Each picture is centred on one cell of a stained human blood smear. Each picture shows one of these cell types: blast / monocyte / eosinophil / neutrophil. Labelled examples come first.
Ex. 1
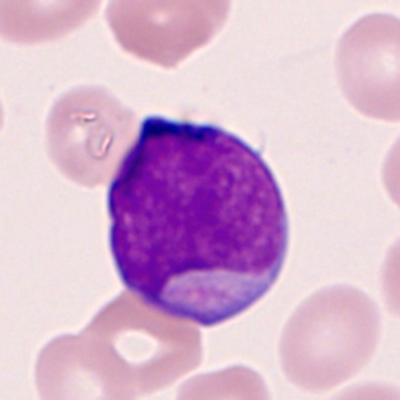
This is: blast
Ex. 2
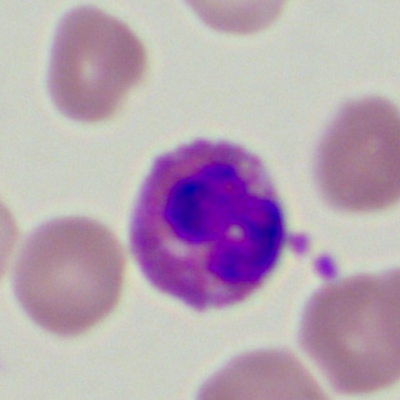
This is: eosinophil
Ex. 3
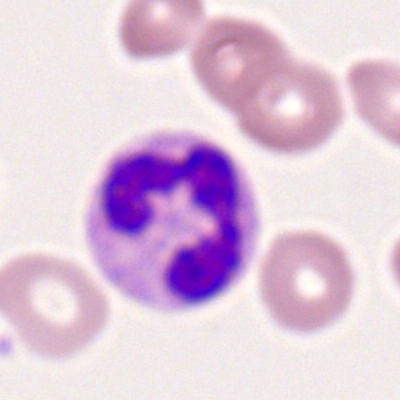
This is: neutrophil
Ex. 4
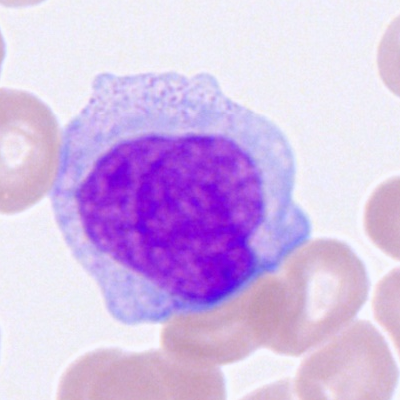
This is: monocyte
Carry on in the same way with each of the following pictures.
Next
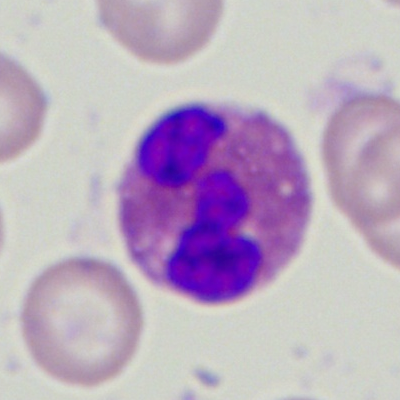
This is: eosinophil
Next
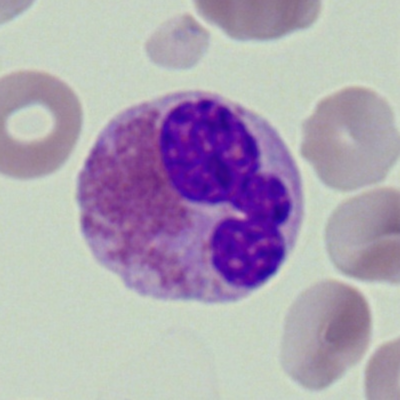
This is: eosinophil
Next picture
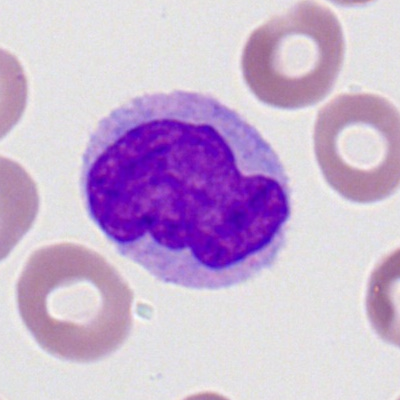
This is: monocyte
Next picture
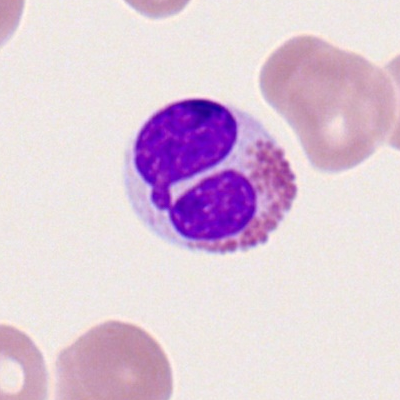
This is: eosinophil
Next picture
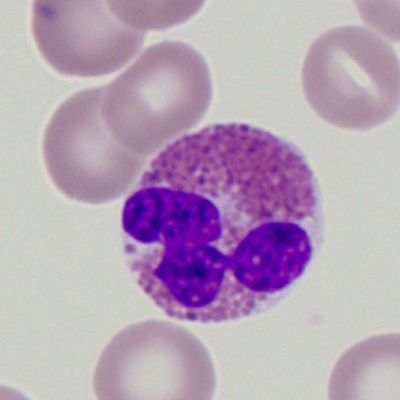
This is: eosinophil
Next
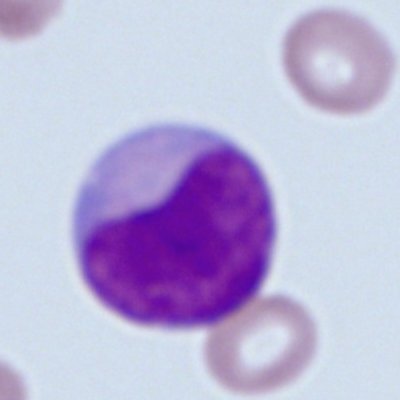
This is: blast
